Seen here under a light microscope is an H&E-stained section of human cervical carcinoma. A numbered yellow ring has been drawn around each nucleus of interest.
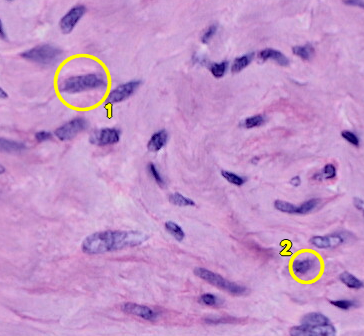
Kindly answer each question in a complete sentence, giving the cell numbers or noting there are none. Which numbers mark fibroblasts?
Cell 1 is the only numbered cell that is a fibroblast.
